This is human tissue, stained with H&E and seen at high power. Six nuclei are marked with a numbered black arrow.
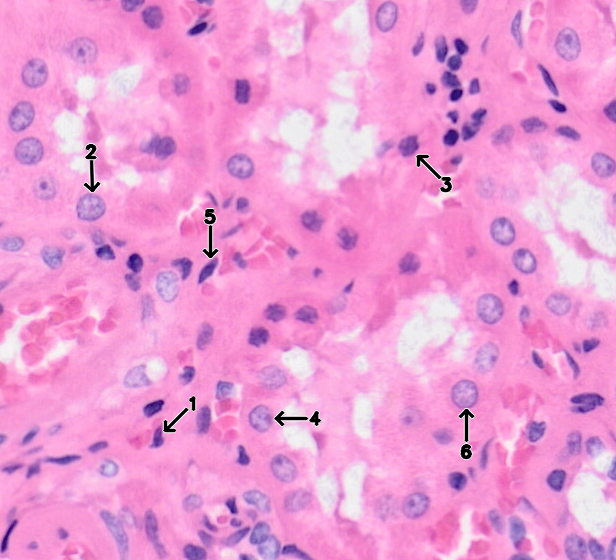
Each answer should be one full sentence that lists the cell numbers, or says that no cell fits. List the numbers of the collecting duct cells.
In this section, none of the numbered cells are collecting duct cells.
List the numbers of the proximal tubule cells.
The numbers 2, 3, 4 and 6 in this section indicate proximal tubule cells.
